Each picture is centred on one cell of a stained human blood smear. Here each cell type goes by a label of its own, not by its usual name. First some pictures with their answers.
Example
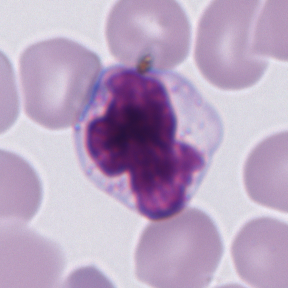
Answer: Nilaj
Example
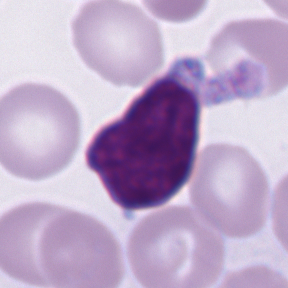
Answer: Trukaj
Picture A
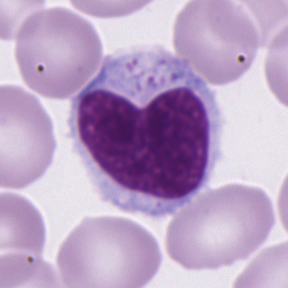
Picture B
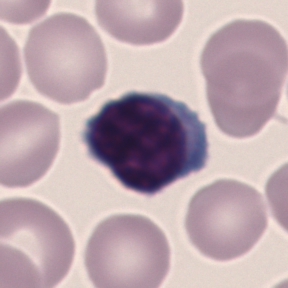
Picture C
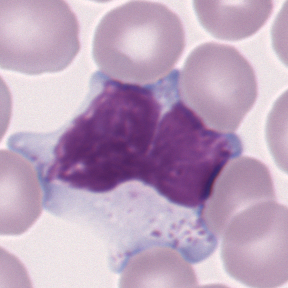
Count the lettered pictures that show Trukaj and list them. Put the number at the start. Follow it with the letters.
1, namely B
